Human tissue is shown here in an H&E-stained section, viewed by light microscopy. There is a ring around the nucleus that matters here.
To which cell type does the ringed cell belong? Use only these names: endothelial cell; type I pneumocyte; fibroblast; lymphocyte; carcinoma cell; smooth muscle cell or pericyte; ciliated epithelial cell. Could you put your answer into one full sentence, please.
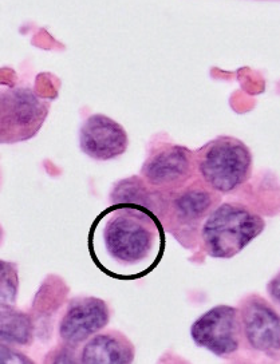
Within the stained tissue, the ringed cell is a carcinoma cell.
